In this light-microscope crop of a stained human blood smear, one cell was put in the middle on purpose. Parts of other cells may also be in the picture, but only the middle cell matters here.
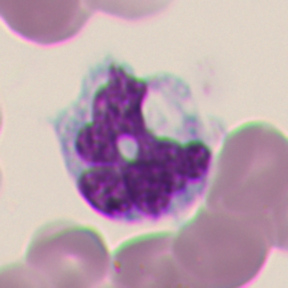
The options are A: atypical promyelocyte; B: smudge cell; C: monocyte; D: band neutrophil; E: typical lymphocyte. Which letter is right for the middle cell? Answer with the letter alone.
C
